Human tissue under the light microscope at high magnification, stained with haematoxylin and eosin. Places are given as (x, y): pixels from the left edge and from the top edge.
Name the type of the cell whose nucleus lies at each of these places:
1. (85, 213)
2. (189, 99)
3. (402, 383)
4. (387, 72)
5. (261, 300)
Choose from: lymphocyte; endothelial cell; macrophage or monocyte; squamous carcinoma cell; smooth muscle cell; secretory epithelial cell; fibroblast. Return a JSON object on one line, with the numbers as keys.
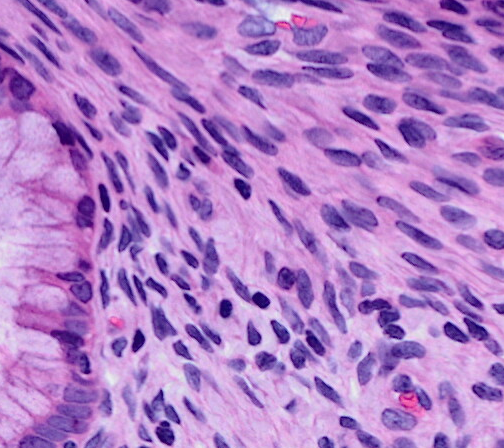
{"1": "secretory epithelial cell", "2": "fibroblast", "3": "endothelial cell", "4": "fibroblast", "5": "lymphocyte"}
